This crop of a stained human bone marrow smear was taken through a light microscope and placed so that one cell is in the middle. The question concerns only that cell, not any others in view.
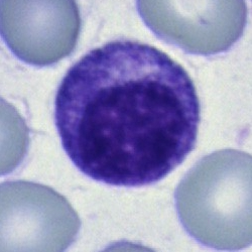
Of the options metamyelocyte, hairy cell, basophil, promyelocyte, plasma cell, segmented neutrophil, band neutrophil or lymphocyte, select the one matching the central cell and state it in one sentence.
The middle cell in this particular crop is a promyelocyte.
